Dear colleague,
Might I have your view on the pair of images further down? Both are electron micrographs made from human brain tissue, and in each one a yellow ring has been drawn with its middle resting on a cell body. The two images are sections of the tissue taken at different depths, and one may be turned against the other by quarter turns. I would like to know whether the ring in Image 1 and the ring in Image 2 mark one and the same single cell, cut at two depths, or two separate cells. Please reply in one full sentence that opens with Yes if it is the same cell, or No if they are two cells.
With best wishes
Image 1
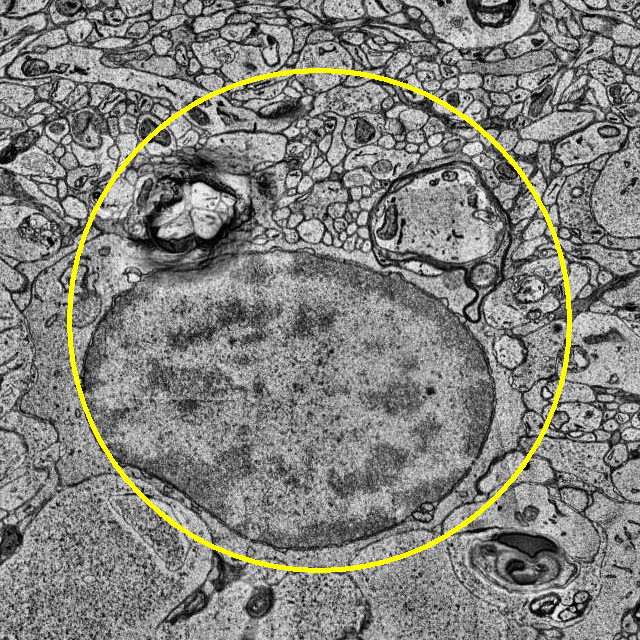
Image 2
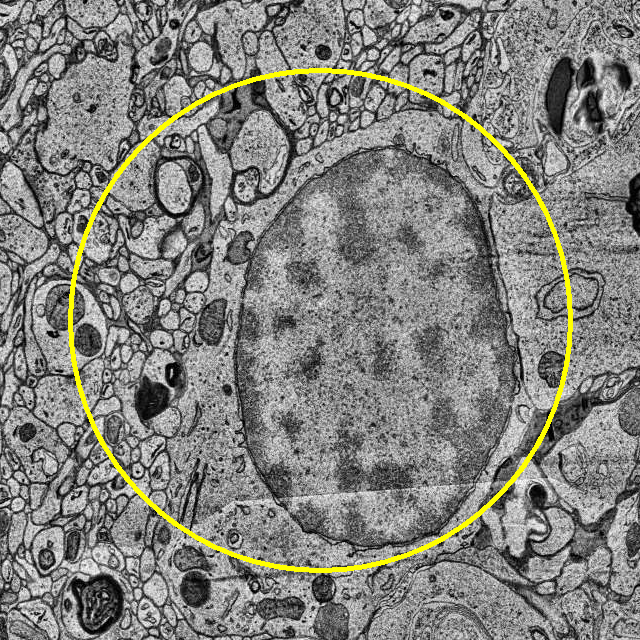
Yes, one cell appears twice, once in each ring.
